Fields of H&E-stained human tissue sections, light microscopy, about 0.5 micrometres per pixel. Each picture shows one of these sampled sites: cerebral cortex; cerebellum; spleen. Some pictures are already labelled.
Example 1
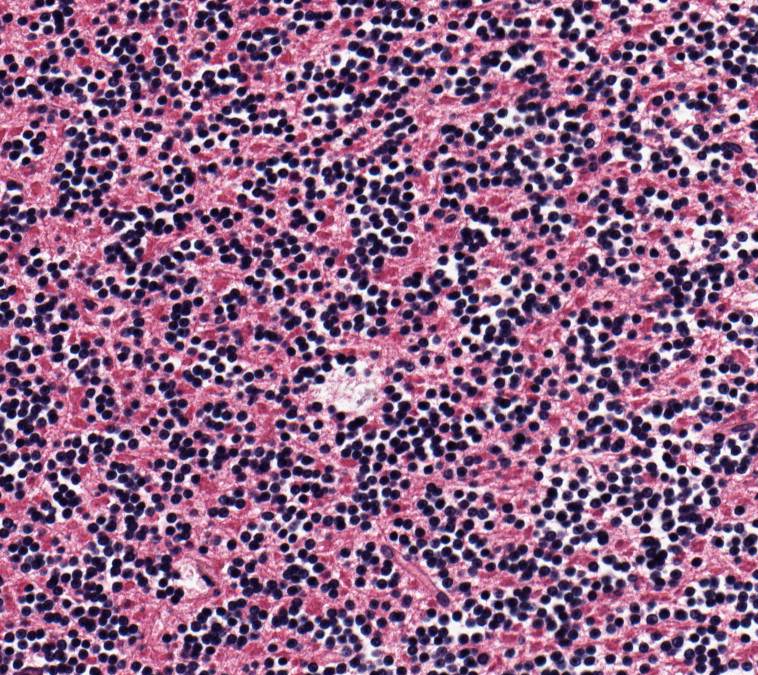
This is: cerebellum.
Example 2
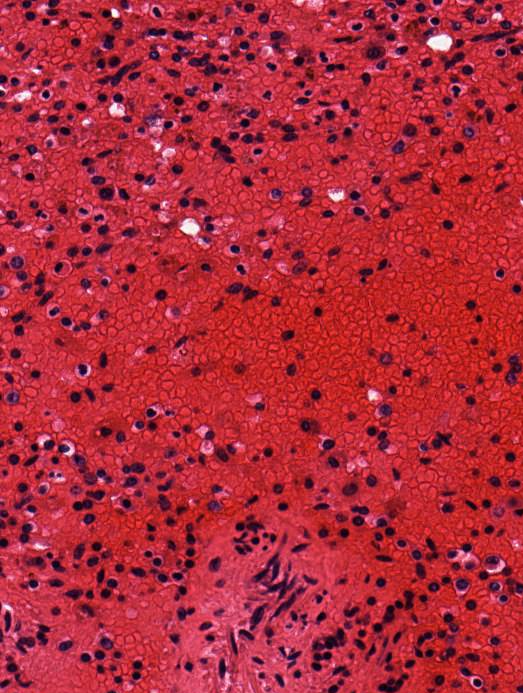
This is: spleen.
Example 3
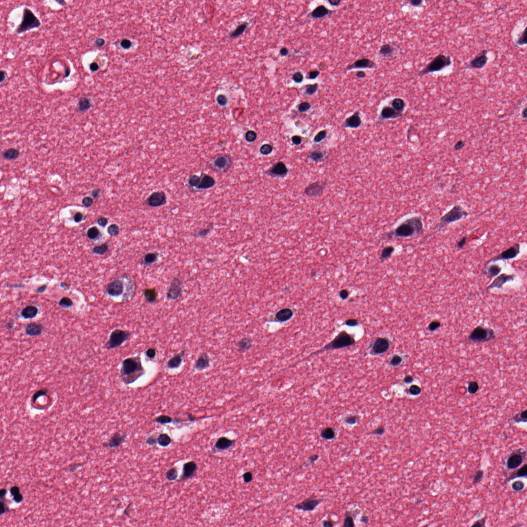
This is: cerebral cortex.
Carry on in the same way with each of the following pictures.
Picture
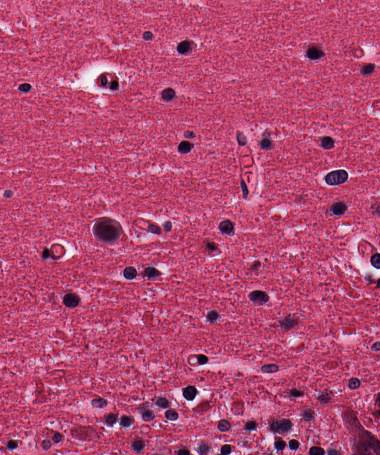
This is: cerebellum.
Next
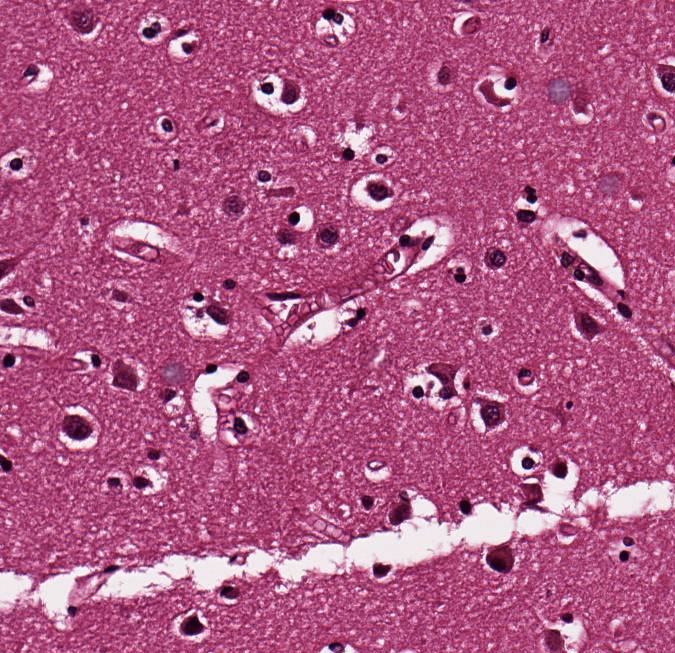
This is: cerebral cortex.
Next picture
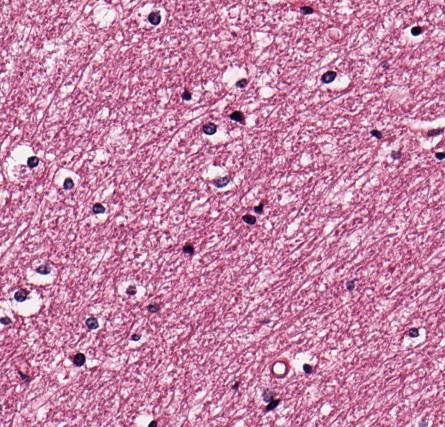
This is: cerebellum.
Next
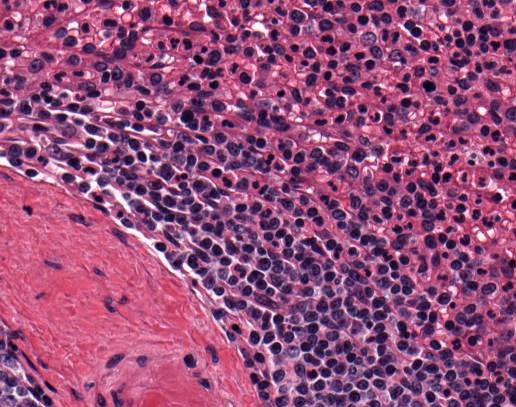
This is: spleen.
